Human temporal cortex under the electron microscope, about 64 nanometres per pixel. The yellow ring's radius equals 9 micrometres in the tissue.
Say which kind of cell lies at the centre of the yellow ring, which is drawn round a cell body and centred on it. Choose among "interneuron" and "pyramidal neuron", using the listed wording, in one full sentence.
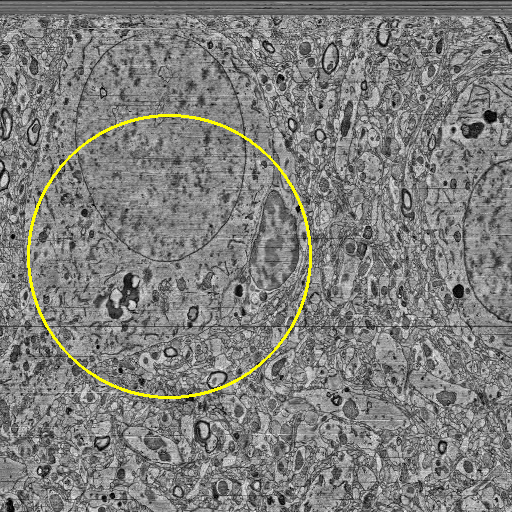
Going by the list, the cell at the yellow ring's centre is a pyramidal neuron.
